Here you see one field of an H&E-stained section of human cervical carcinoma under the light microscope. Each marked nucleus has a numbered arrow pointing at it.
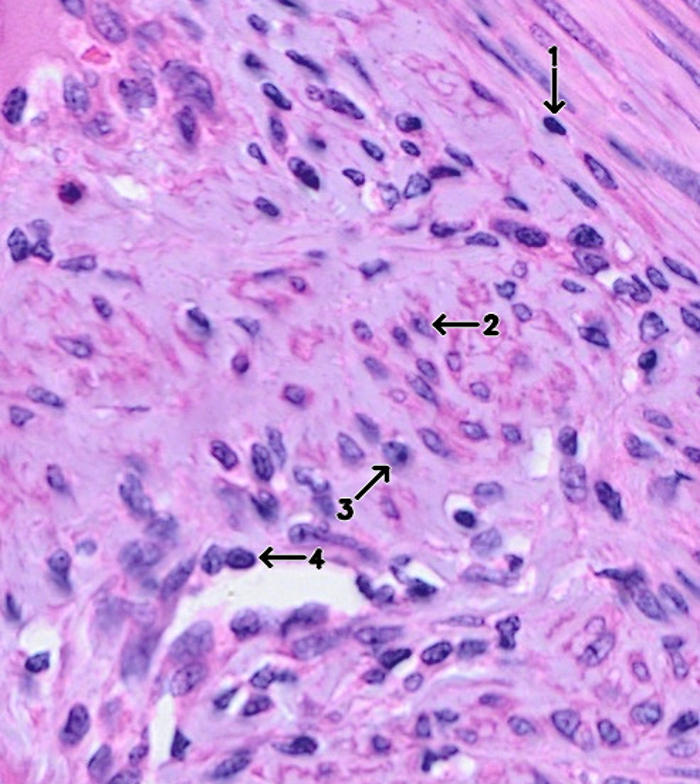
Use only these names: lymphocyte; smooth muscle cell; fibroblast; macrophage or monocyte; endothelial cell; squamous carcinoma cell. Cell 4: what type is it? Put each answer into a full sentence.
The mark numbered 4 indicates the nucleus of a lymphocyte.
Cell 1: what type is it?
Cell 1 in the field of view is a lymphocyte.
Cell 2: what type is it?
Cell 2, as marked in the section, is a smooth muscle cell.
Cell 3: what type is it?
The numbered cell 3 is identified here as a lymphocyte.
